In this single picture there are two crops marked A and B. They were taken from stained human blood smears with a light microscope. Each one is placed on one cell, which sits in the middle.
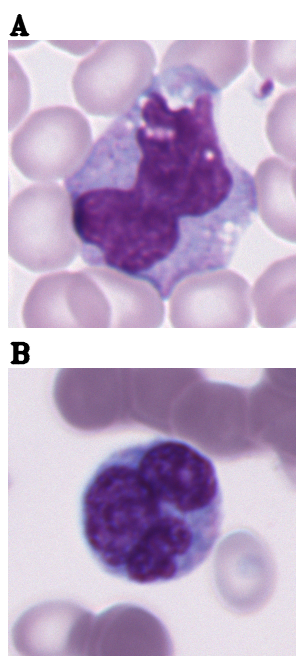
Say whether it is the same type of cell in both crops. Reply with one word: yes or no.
yes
